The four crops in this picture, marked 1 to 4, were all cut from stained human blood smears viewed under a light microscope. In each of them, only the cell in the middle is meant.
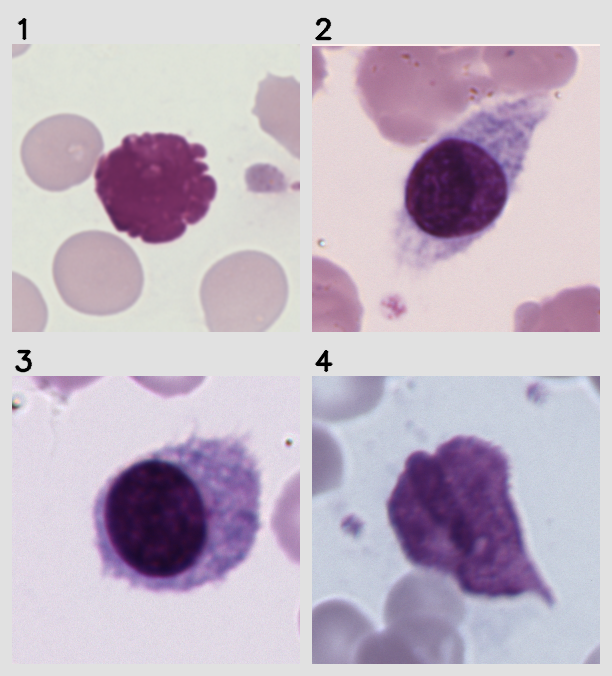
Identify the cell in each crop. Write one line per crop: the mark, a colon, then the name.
1: smudge cell
2: hairy cell
3: hairy cell
4: smudge cell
